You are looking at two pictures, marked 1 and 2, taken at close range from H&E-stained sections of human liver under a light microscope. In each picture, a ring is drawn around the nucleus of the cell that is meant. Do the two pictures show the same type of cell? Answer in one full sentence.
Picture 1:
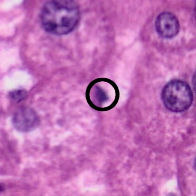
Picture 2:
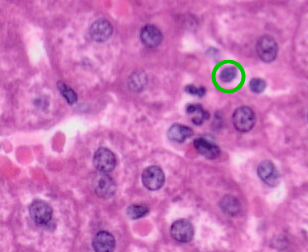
No, they differ: the cell is an endothelial cell in picture 1 and a lymphocyte in picture 2.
